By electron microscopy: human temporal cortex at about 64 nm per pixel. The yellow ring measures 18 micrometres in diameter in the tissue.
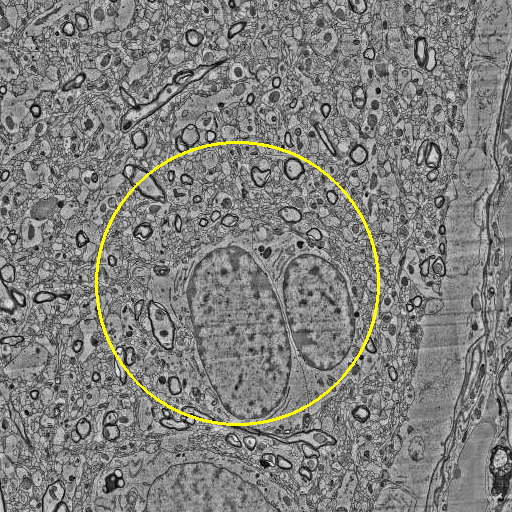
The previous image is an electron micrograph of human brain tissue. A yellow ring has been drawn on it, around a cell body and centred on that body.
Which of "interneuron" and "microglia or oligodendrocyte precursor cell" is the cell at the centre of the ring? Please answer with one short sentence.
The cell body at the centre of the ring belongs to a microglial cell or oligodendrocyte precursor cell.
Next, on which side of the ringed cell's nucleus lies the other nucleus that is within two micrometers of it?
The other nucleus is located to the upper right of it.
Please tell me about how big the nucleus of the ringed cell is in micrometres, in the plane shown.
Clearly longer than it is wide in this plane, the nucleus measures roughly 11 by 6 micrometres.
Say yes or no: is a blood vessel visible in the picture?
Yes, a blood vessel is present in this picture.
